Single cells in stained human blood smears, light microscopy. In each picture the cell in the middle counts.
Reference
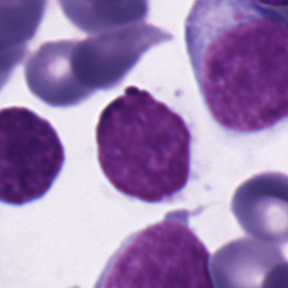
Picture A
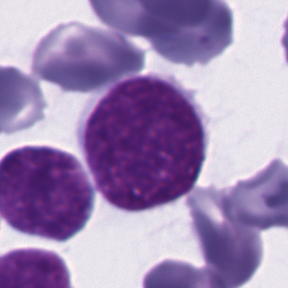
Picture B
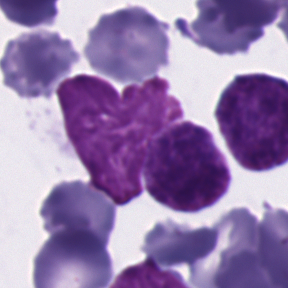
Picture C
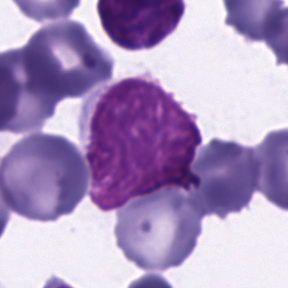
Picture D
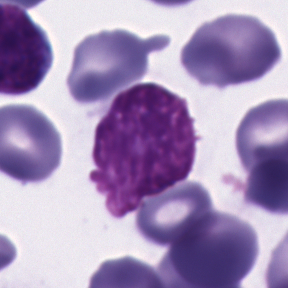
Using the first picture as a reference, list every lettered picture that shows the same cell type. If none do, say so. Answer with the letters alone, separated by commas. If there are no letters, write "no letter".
A, C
